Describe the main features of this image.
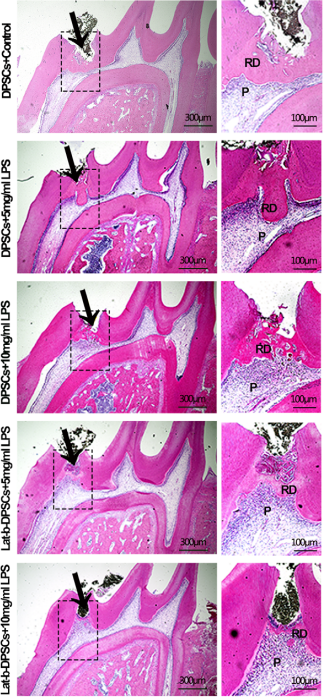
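The hard tissue is a broad, evenly pink layer enclosing a central chamber filled with looser, more purple, cell-rich soft tissue. At the top of each tooth a cavity opens through the hard tissue and holds dark, almost black, granular material. Beneath the cavity a band of pink, less orderly hard tissue lies over the soft tissue, thicker and more continuous in some sections and thin or broken in others.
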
